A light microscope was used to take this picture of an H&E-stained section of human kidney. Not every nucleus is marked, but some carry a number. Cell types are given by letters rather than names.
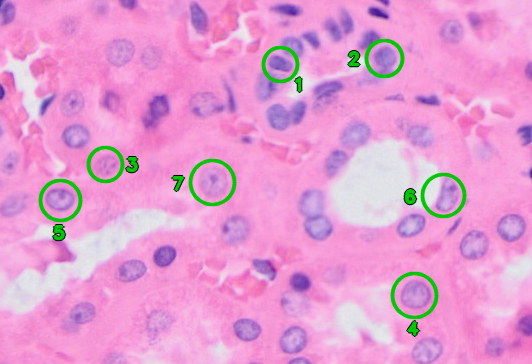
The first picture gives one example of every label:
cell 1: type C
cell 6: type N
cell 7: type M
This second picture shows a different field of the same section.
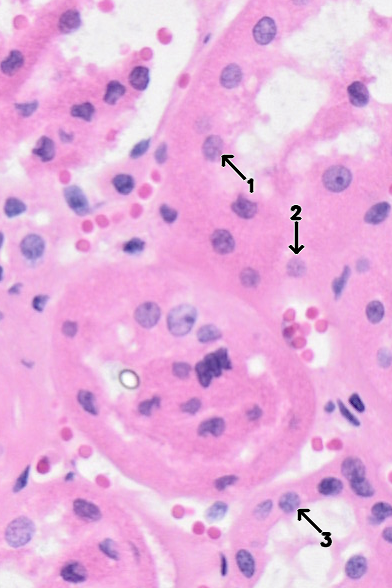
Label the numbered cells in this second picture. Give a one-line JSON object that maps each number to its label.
{"1": "type M", "2": "type M", "3": "type C"}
